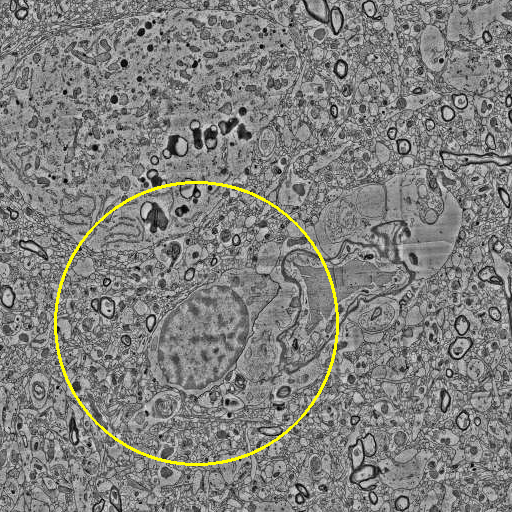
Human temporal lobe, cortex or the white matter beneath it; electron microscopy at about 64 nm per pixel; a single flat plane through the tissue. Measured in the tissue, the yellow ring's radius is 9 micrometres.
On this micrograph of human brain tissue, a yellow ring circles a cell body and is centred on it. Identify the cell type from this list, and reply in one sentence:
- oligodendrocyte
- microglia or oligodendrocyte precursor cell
The cell at the centre is an oligodendrocyte.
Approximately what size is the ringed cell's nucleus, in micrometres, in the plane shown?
In this plane the nucleus spans approximately 7 by 5 micrometers.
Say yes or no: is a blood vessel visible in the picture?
Yes, a blood vessel is present in this picture.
